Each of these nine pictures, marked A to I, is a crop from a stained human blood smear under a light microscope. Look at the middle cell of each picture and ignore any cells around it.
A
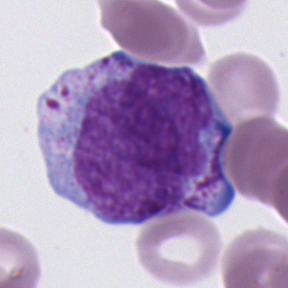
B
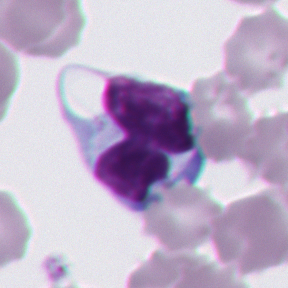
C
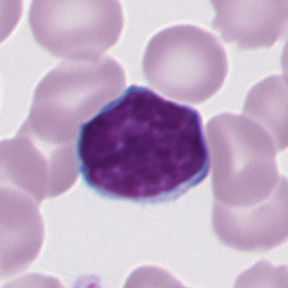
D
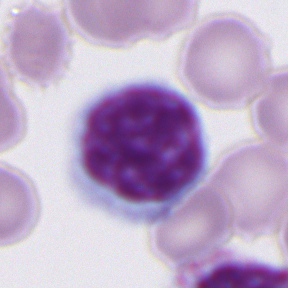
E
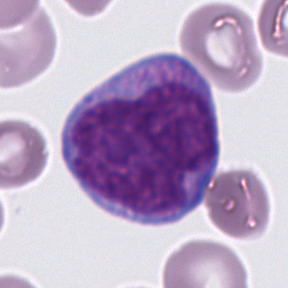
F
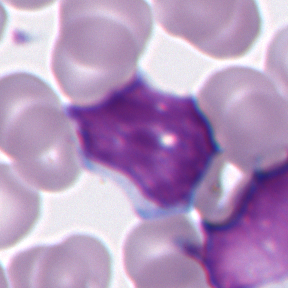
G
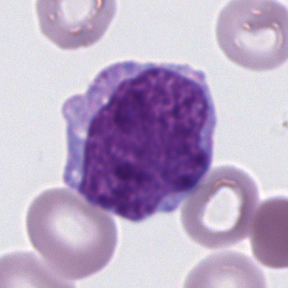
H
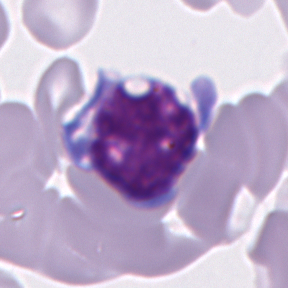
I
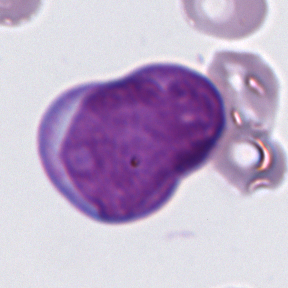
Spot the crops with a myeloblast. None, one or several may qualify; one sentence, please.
Honestly, none of these crops shows a myeloblast.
